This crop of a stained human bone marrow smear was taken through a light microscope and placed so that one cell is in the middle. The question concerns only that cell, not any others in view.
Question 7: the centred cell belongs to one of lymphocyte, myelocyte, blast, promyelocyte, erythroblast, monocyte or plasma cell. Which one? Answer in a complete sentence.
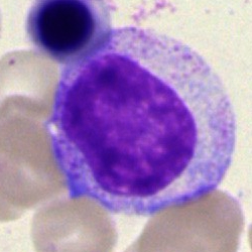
The central cell shown in this smear crop is a myelocyte.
